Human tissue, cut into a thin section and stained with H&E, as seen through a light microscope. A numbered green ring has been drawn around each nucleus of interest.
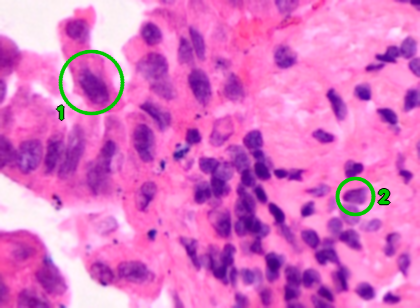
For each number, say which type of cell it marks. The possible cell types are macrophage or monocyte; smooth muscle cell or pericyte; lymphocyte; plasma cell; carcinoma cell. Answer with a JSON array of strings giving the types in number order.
["carcinoma cell", "lymphocyte"]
